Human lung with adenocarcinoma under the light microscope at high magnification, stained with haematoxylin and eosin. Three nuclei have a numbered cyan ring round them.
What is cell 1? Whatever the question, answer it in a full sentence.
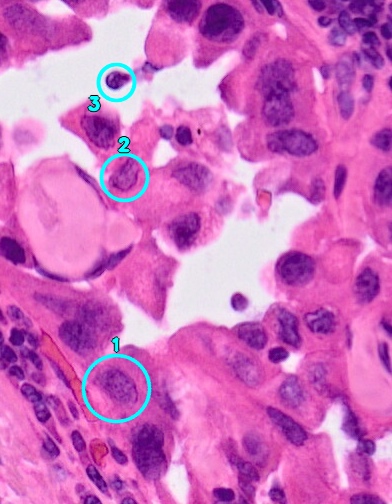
The cell pointed out by number 1 is a carcinoma cell.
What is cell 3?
The cell given label 3 is a lymphocyte.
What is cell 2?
The cell that goes by number 2 is a carcinoma cell.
